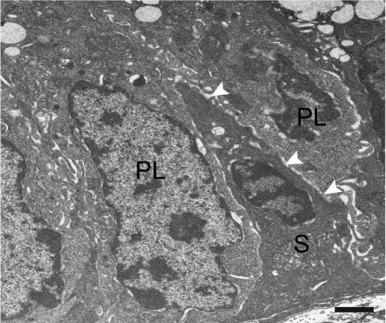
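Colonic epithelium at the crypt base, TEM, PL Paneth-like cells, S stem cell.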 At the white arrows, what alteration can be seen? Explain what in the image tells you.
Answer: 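Regions of separation. Many pale, winding clefts lie between adjacent cells. Cell borders are no longer closely apposed.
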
